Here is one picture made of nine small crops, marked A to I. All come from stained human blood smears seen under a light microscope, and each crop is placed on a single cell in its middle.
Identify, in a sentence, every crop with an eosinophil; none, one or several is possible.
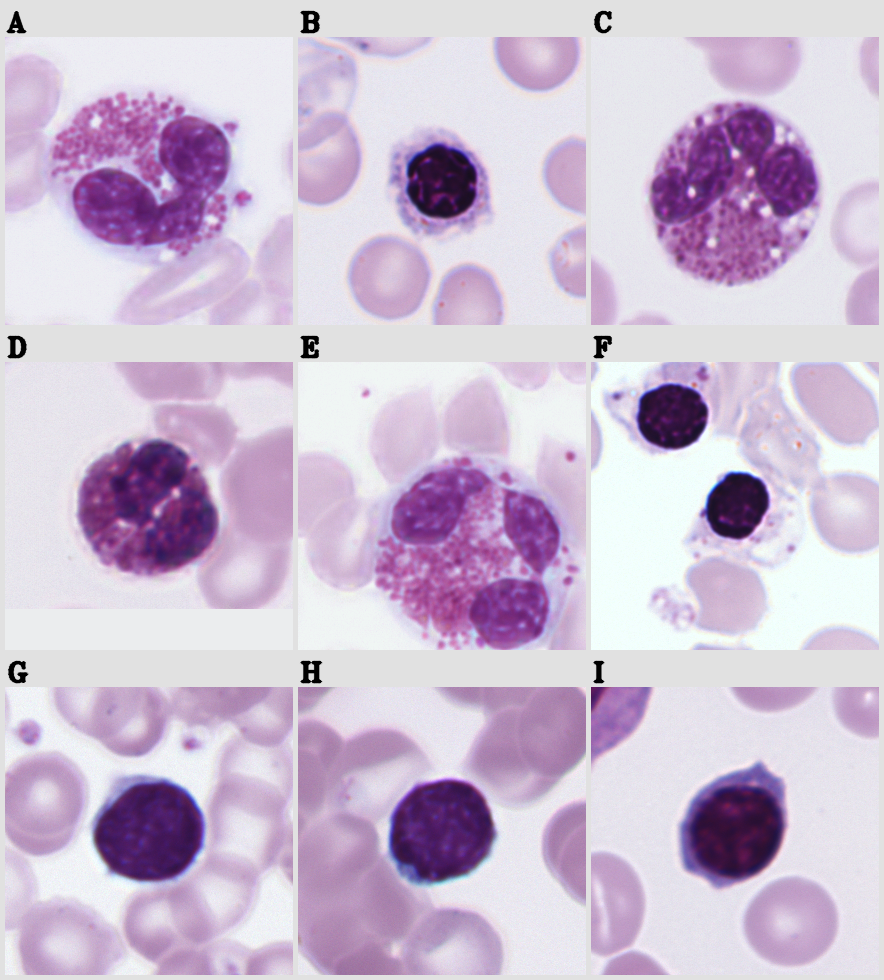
Crops A, C, D and E are the ones showing eosinophils.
